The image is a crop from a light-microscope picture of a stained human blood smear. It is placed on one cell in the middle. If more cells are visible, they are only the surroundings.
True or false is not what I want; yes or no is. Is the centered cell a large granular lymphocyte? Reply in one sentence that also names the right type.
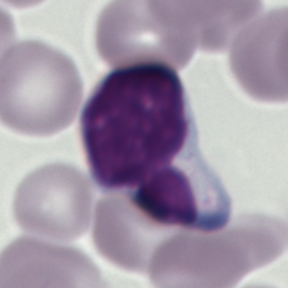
Yes, the central cell is to be recorded as a large granular lymphocyte.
